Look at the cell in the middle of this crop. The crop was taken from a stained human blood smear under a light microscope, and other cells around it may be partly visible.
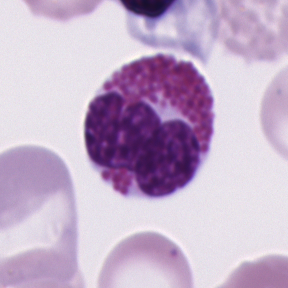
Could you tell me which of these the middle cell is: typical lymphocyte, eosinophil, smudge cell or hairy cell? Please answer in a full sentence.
Occupying the centre of the crop is an eosinophil.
